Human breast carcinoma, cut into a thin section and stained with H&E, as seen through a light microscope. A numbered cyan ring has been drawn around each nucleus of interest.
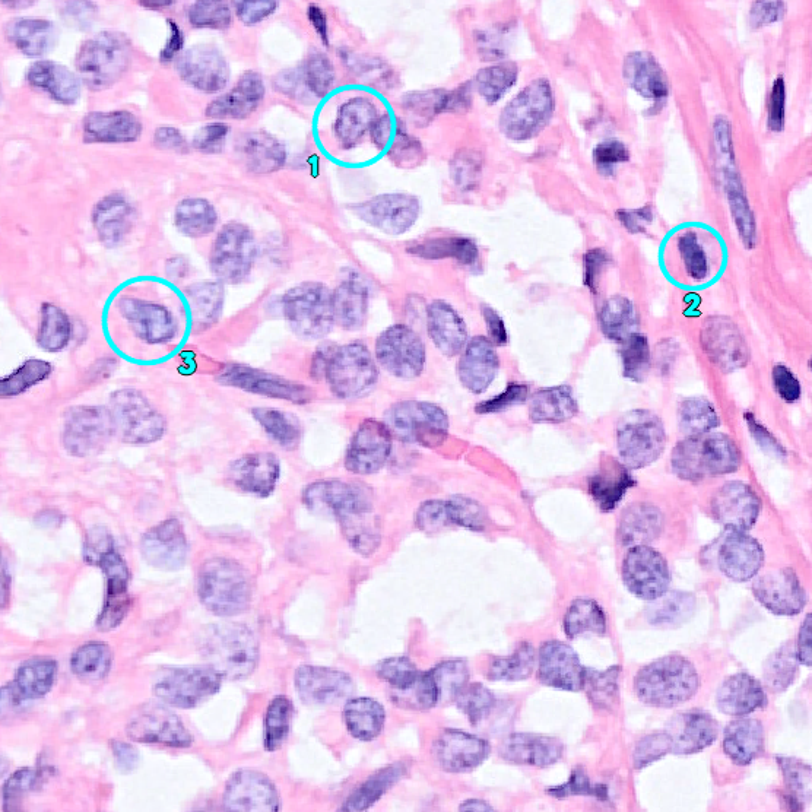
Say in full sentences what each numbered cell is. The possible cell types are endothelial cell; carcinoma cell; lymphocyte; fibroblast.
Cell 1 is a carcinoma cell. Cell 2 is a lymphocyte. Cell 3 is an endothelial cell.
